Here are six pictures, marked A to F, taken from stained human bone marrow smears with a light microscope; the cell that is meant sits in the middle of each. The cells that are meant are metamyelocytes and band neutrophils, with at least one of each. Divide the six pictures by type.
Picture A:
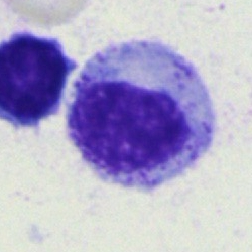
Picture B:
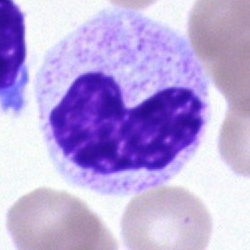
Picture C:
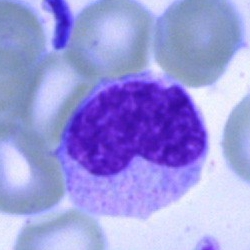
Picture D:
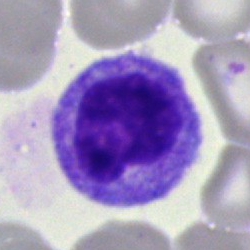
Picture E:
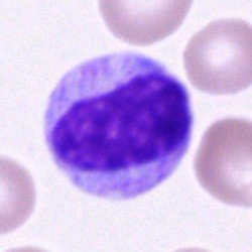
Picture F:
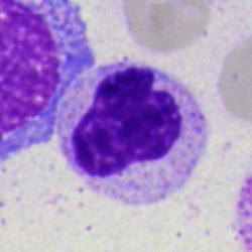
A: metamyelocyte
B: band neutrophil
C: metamyelocyte
D: metamyelocyte
E: metamyelocyte
F: band neutrophil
